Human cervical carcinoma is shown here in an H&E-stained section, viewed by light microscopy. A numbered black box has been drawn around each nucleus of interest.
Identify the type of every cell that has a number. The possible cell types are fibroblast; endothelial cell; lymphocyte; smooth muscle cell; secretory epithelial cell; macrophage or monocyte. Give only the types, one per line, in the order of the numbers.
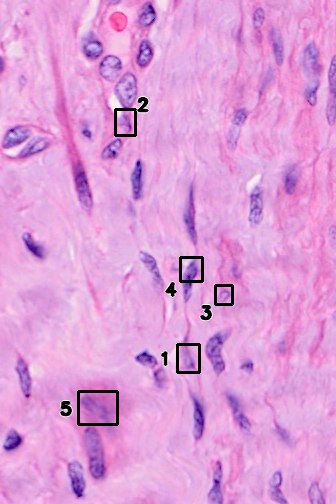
fibroblast
endothelial cell
smooth muscle cell
fibroblast
smooth muscle cell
